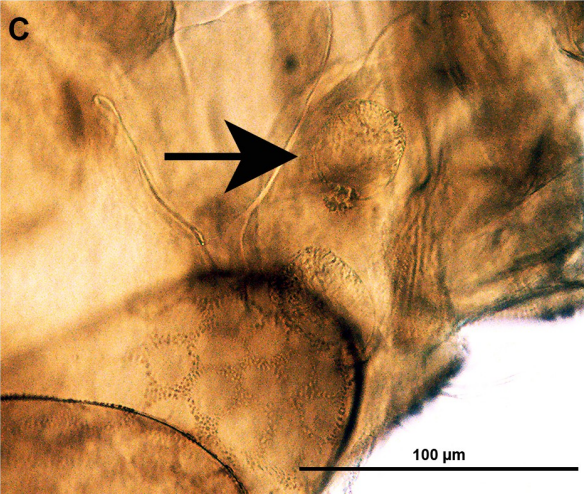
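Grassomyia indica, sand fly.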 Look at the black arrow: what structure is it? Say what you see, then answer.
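The arrow points to a small rounded capsule with a textured wall. A thin duct runs from the region of the capsule. So: spermathecae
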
